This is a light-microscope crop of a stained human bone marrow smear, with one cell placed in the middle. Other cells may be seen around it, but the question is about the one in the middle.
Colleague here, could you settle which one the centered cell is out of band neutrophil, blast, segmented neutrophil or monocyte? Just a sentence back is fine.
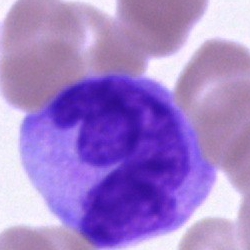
Located at the centre of the crop is a monocyte.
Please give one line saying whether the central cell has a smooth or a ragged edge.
Happy to help: the outline is smooth and shows no projections.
